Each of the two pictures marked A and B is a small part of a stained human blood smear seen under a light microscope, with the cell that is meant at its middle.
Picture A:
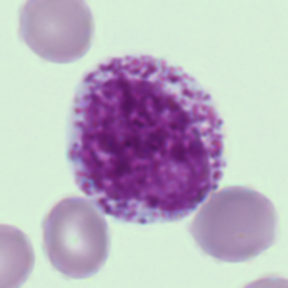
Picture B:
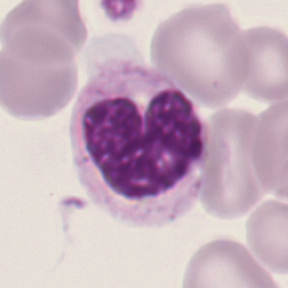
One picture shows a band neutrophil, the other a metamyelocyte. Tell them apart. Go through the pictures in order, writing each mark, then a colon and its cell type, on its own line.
A: metamyelocyte
B: band neutrophil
